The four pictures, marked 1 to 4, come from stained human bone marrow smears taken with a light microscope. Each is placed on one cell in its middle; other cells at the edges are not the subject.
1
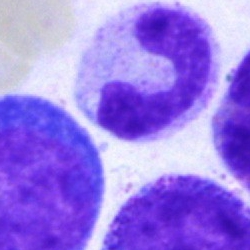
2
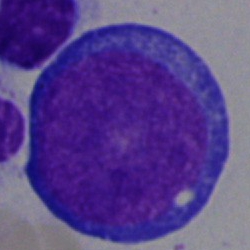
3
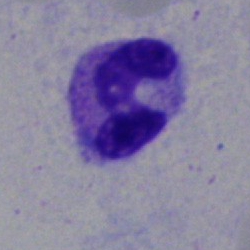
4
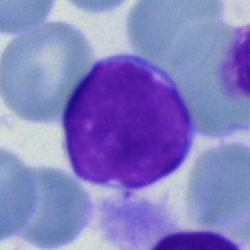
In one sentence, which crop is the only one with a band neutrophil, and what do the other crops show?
The cell of interest in crop 1 is a band neutrophil, and crop 2 is a proerythroblast, crop 3 is a segmented neutrophil and crop 4 is a lymphocyte.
